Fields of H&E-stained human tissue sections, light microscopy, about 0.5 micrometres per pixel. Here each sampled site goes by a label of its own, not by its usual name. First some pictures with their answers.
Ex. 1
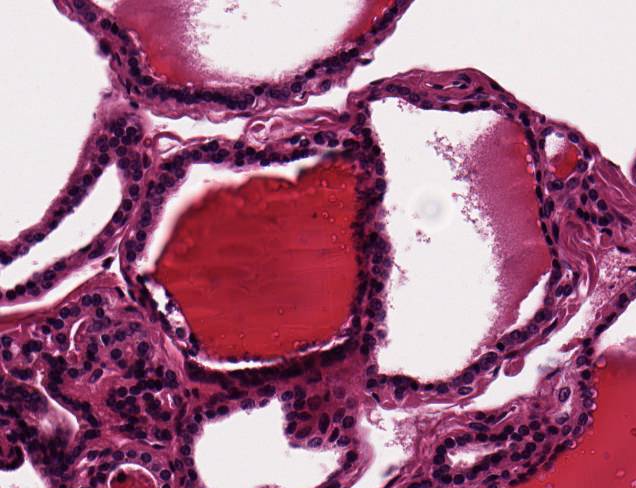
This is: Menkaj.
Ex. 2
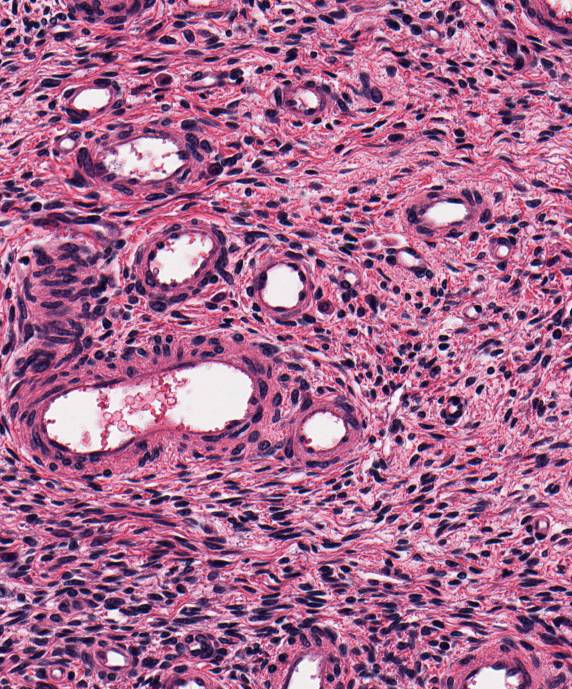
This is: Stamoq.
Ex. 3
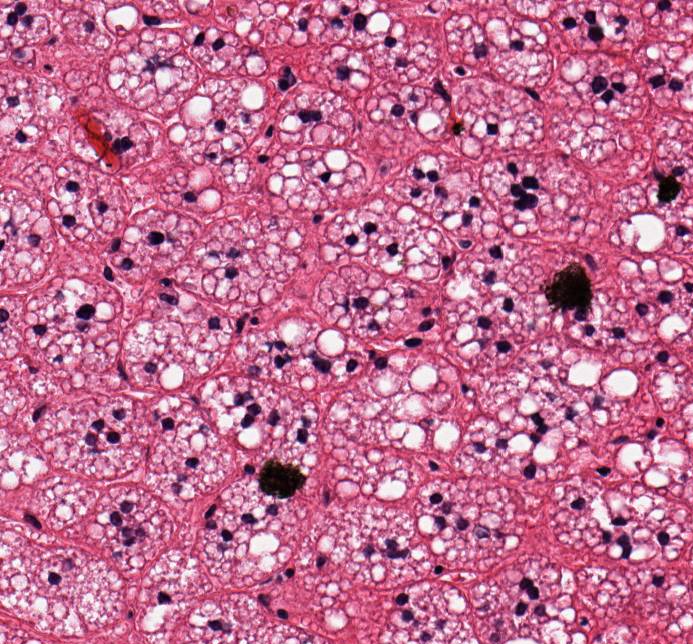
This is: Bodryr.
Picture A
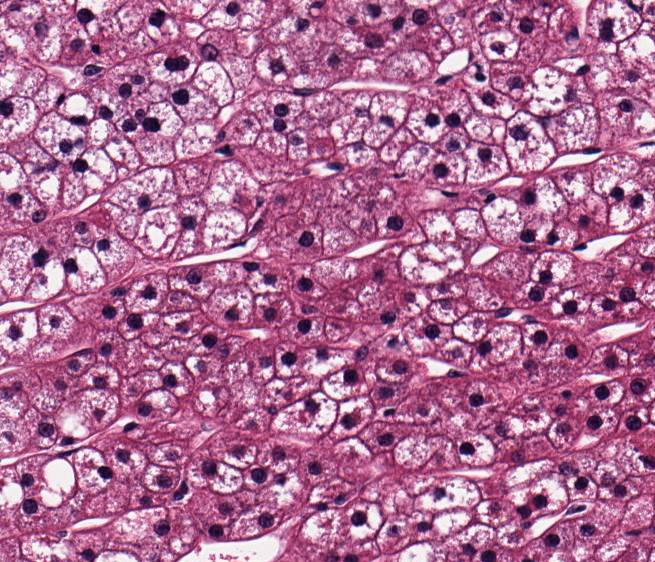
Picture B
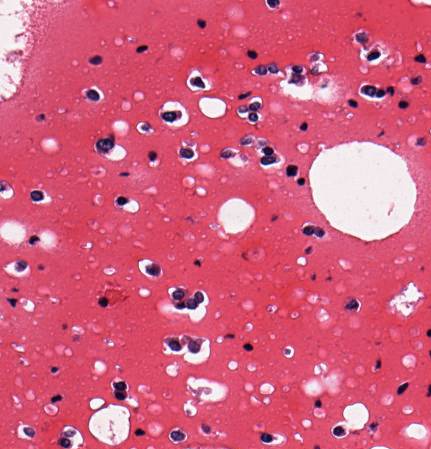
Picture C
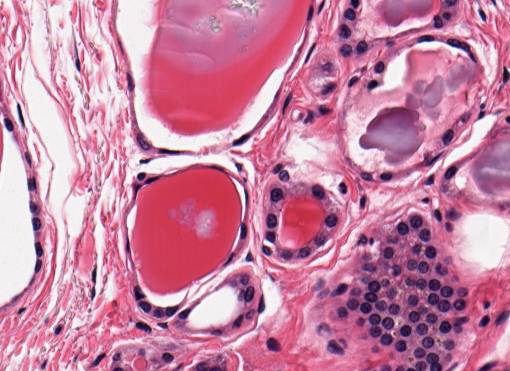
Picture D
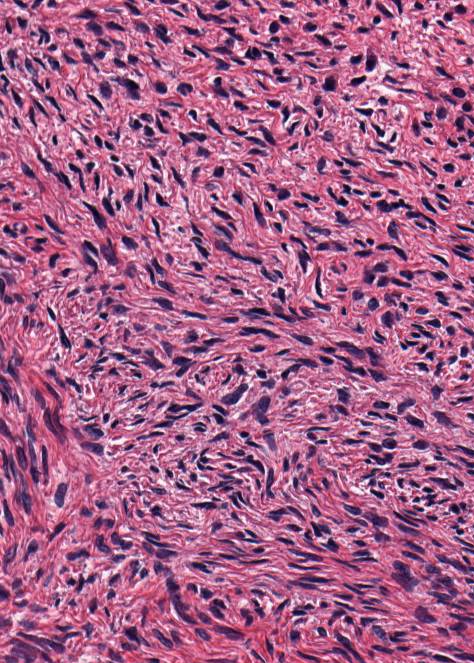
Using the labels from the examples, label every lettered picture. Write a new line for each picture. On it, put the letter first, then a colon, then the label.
A: Bodryr.
B: Menkaj.
C: Menkaj.
D: Stamoq.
